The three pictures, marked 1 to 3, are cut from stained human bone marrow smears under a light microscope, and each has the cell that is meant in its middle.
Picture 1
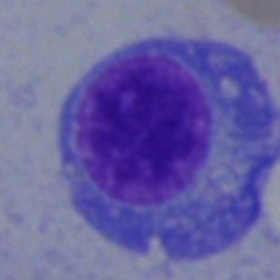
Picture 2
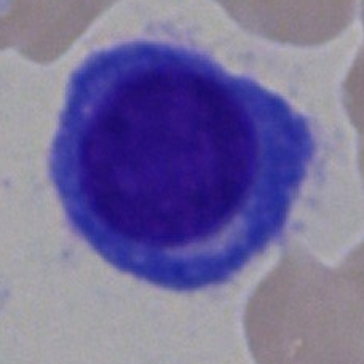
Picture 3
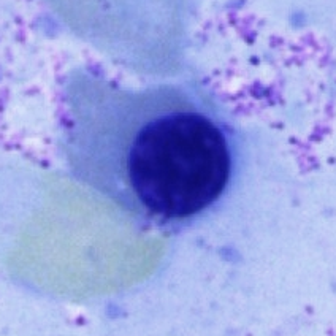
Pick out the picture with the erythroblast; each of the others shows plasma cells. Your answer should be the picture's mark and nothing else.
3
